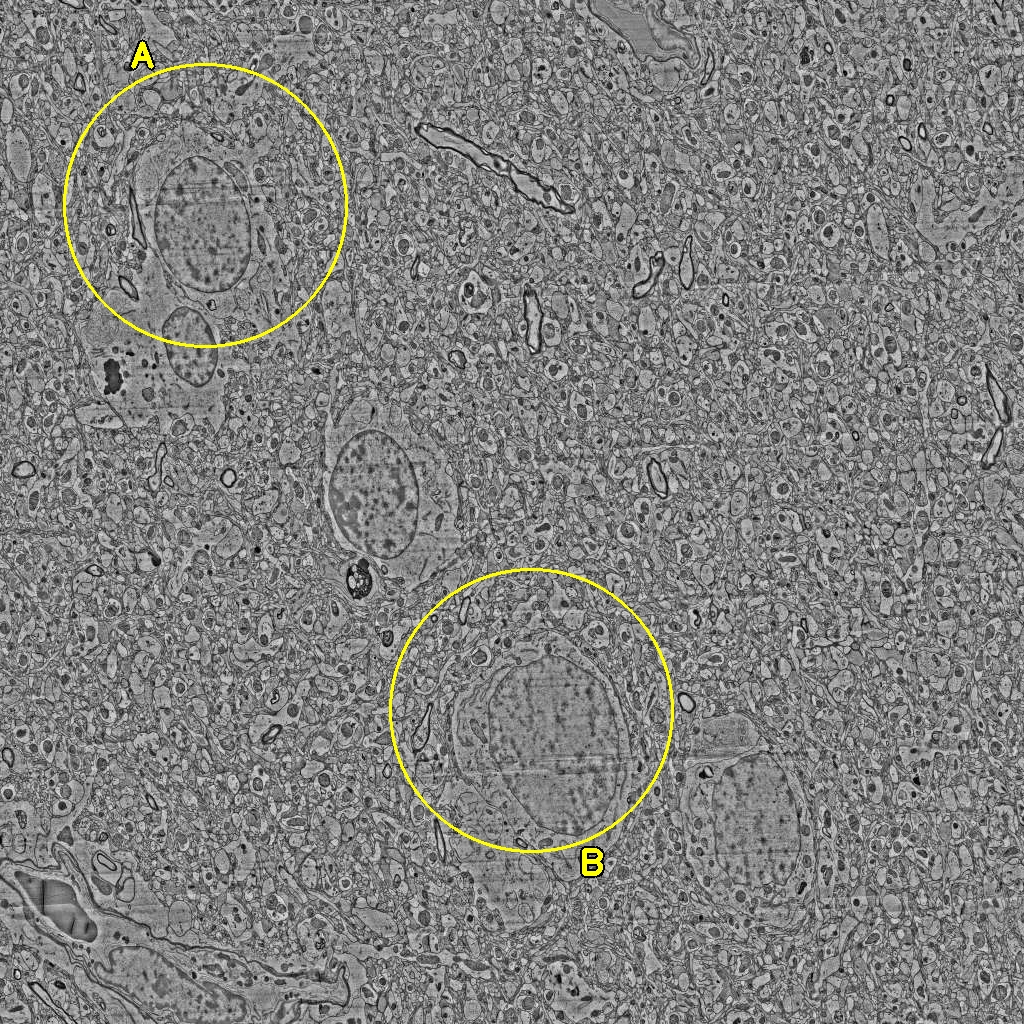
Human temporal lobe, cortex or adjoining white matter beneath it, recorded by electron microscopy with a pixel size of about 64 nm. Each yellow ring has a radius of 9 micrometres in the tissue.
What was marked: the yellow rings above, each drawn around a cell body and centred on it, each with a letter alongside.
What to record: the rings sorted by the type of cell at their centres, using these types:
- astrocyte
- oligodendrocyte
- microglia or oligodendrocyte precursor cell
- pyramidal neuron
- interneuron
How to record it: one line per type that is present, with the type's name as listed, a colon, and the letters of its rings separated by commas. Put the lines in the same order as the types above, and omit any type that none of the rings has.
astrocyte: A
interneuron: B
